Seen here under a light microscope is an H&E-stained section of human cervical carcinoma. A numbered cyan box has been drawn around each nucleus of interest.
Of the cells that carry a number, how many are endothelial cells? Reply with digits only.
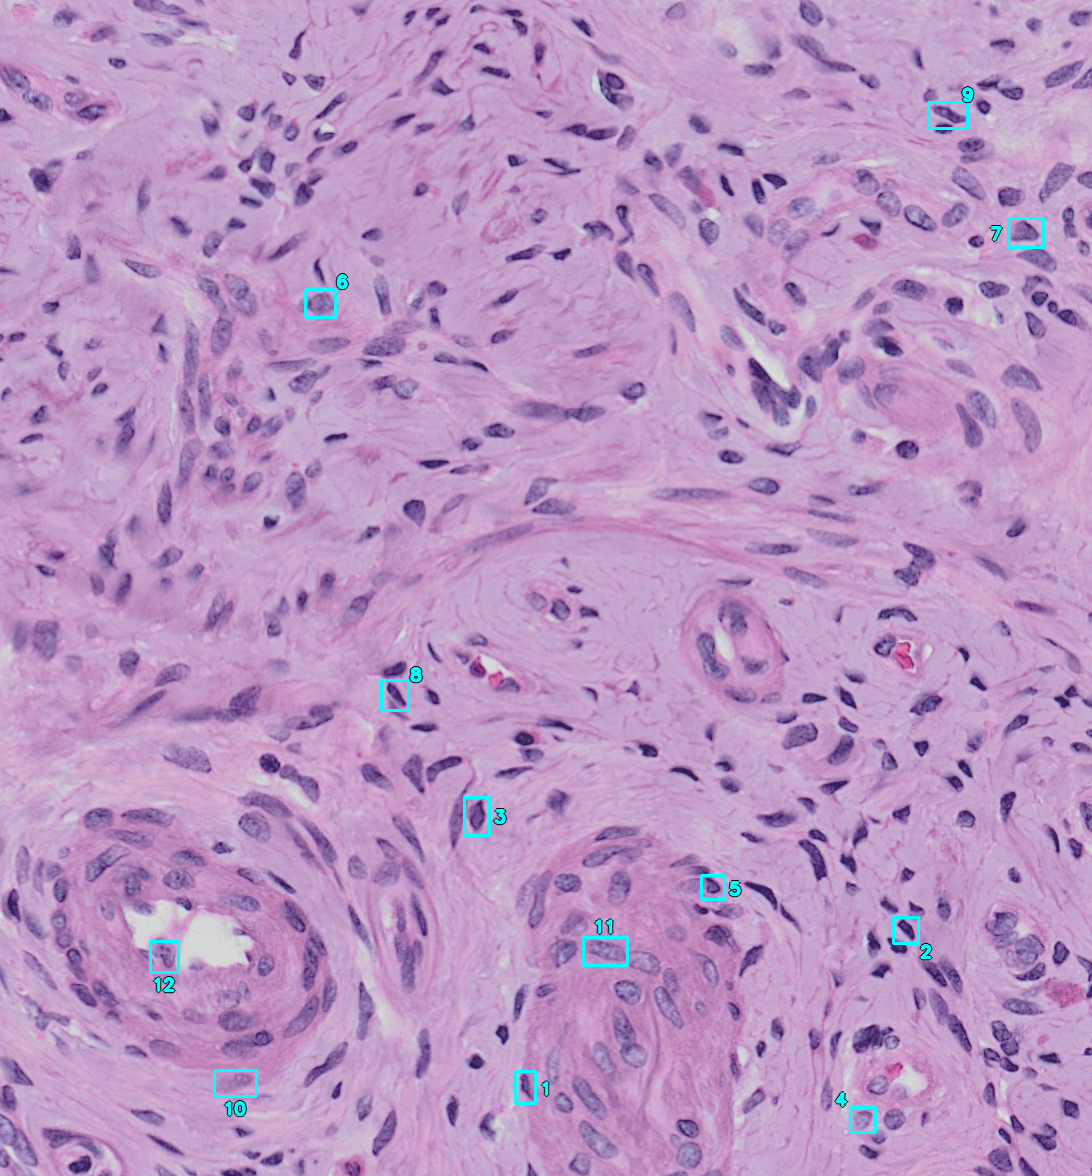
1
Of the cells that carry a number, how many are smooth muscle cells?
5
